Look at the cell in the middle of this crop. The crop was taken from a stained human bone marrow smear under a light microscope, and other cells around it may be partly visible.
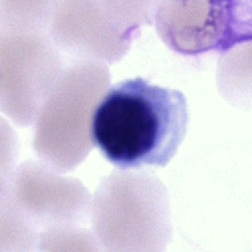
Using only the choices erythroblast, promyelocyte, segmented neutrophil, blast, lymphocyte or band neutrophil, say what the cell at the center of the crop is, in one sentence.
In the middle of this smear crop is an erythroblast.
